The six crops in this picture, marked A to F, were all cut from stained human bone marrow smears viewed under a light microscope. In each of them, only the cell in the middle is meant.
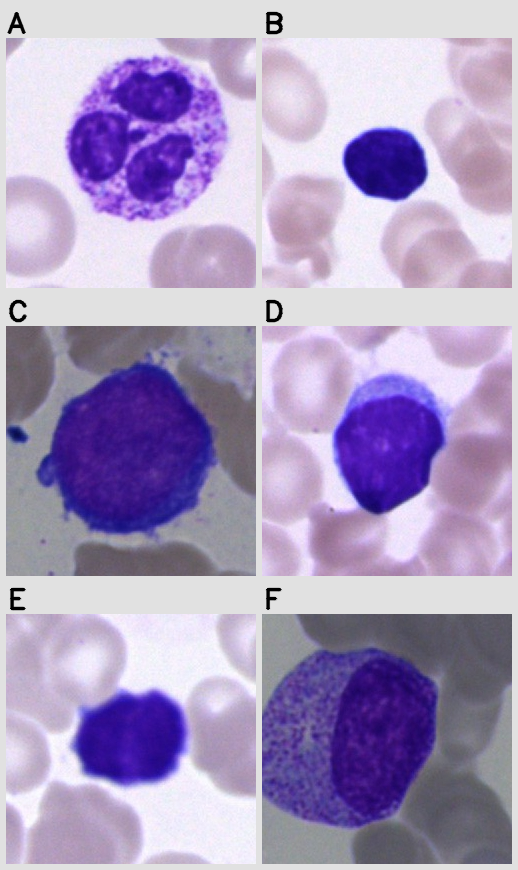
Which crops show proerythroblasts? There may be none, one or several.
C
